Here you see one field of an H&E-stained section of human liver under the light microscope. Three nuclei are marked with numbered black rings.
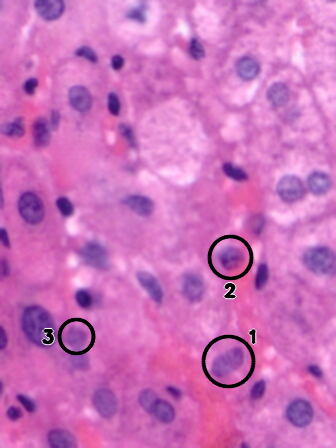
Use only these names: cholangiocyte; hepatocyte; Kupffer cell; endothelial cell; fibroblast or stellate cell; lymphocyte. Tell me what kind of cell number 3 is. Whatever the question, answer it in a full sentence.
Cell 3 should be recorded as a hepatocyte.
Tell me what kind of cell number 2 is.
The cell assigned the number 2 is an endothelial cell.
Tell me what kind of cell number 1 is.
Cell number 1 in this section is a Kupffer cell.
